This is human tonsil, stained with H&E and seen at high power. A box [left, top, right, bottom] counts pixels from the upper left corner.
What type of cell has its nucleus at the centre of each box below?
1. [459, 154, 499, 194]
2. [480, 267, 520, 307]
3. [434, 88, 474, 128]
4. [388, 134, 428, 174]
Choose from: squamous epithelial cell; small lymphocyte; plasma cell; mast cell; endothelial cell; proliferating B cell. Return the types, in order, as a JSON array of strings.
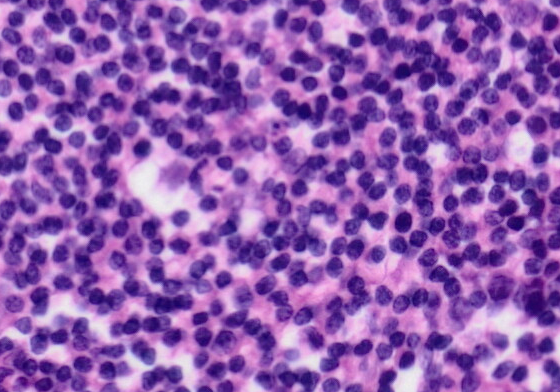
["small lymphocyte", "proliferating B cell", "small lymphocyte", "small lymphocyte"]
